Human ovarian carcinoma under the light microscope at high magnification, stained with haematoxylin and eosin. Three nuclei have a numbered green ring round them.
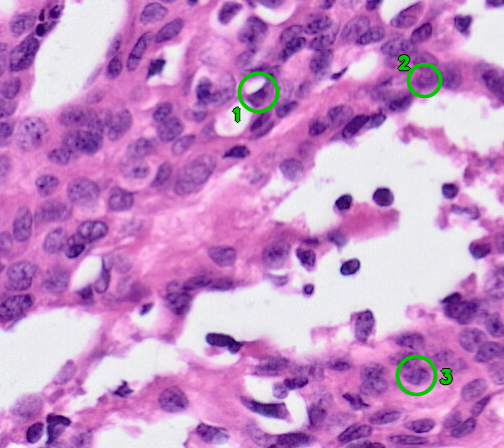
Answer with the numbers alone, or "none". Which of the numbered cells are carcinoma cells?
1, 2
